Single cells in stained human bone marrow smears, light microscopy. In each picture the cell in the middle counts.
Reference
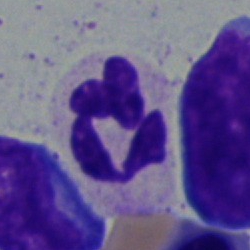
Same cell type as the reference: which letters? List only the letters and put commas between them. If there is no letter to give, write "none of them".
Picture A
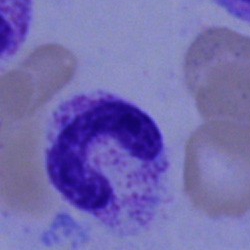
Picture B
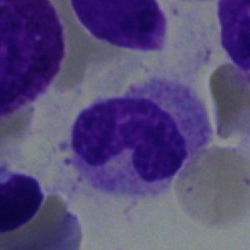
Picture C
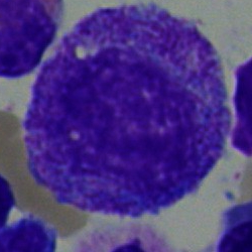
none of them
